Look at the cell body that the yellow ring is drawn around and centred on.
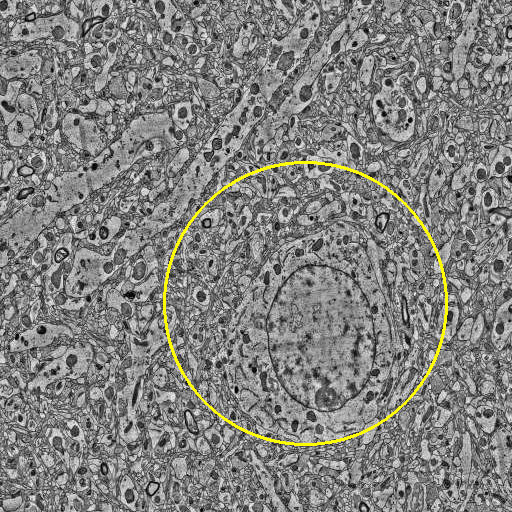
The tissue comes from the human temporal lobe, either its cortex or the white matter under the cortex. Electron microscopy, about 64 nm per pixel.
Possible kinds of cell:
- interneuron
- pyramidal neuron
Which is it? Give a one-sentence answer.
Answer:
The centred cell body is that of a pyramidal neuron.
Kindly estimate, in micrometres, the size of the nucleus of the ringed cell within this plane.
Approximately 10 by 7 micrometers in this plane.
